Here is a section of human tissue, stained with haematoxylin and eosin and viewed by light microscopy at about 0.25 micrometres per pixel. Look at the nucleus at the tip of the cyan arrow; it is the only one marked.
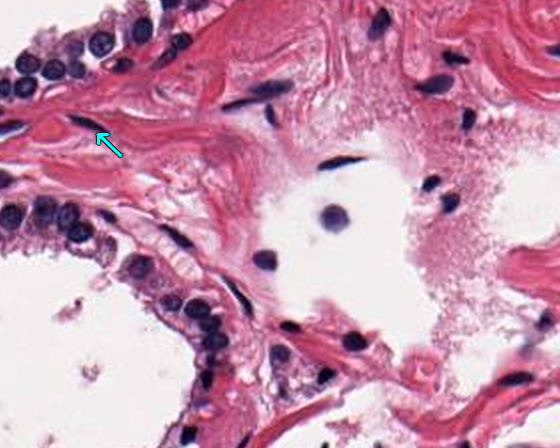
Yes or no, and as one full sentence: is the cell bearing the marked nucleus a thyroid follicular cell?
No, what the marked nucleus belongs to is a supporting cell, not a thyroid follicular cell.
